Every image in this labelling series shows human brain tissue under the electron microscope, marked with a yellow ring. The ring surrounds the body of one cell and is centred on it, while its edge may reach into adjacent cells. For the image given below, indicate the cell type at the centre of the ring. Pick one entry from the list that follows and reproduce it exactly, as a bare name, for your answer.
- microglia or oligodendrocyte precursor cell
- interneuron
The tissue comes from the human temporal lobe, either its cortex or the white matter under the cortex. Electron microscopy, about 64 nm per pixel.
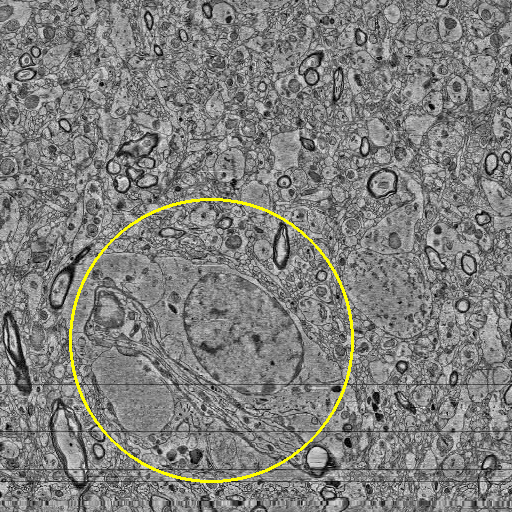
microglia or oligodendrocyte precursor cell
